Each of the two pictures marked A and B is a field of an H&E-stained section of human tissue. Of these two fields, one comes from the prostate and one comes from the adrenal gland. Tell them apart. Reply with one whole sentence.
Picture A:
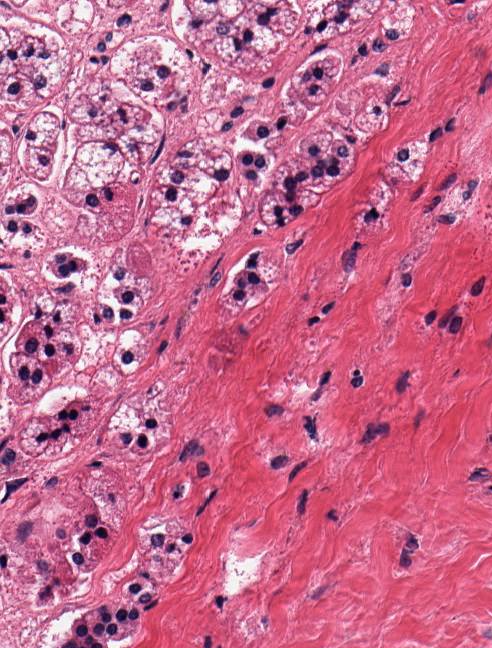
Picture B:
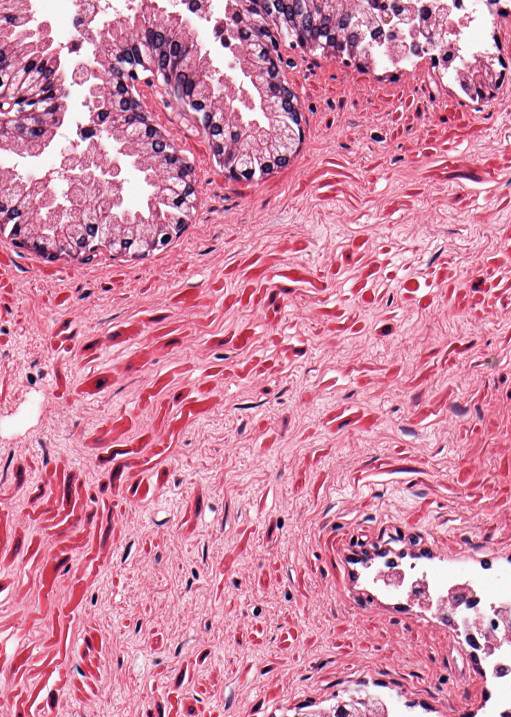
Picture B comes from the prostate, while picture A comes from the adrenal gland.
